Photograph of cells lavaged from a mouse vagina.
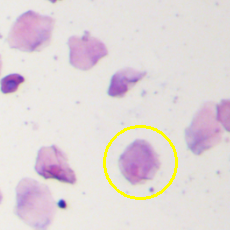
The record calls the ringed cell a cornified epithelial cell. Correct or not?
Not correct; it is a nucleated epithelial cell.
